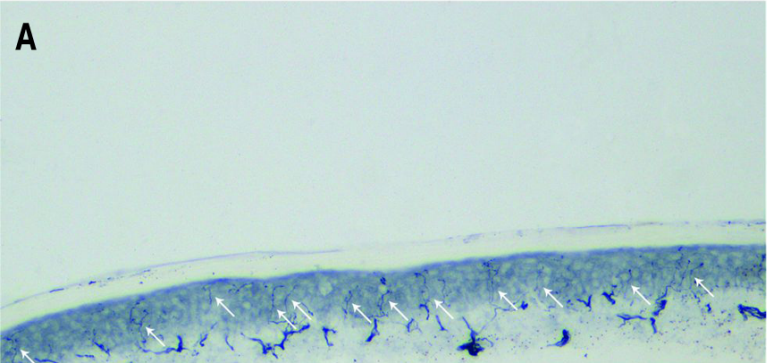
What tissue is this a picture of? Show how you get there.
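A stratified cellular epithelium with a thin pale layer on its outer surface. Loose fibrous tissue lies beneath the epithelium. So: skin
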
